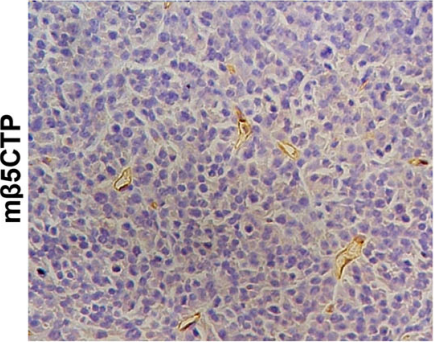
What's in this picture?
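Solid tumor tissue made of sheets of closely packed cells with oval purple-blue nuclei and pale cytoplasm. Only a few small blood vessels are present, seen as short brown-stained strands and narrow slit-like lumens. Wide open vascular lumens are not seen, and most of the field consists of tumor cells alone.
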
